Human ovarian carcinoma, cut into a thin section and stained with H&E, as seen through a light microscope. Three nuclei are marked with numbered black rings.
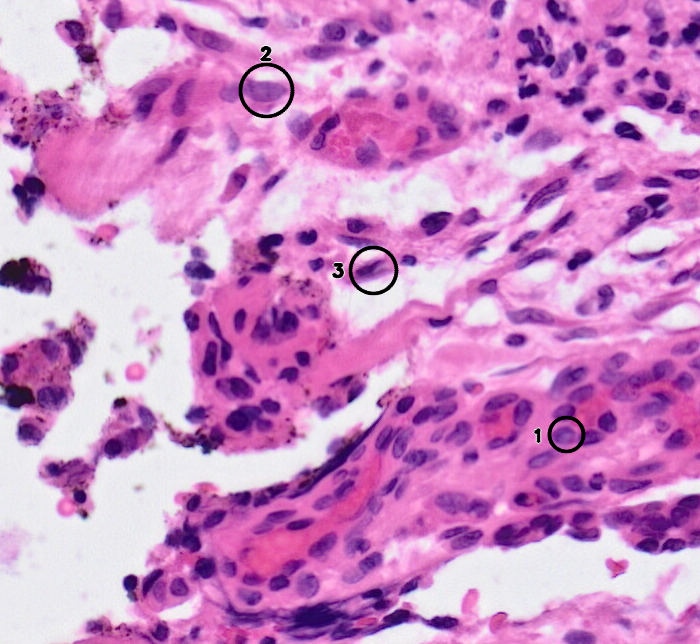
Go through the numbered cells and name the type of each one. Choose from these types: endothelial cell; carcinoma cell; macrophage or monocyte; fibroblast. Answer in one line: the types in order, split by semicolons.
endothelial cell; fibroblast; fibroblast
